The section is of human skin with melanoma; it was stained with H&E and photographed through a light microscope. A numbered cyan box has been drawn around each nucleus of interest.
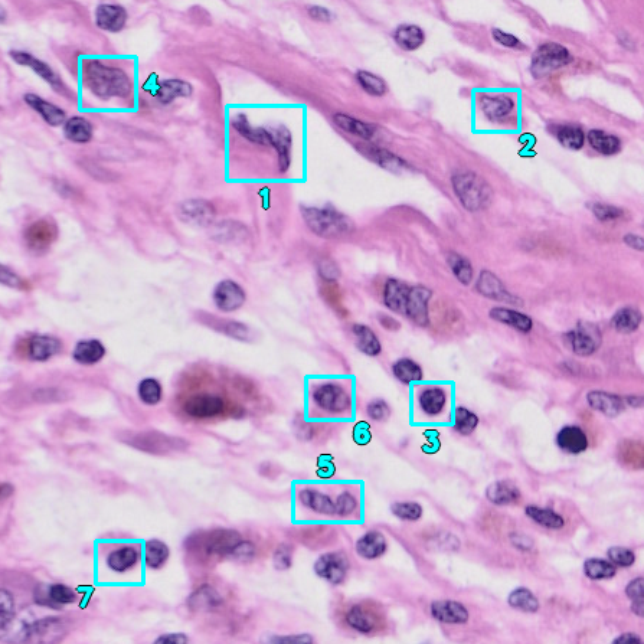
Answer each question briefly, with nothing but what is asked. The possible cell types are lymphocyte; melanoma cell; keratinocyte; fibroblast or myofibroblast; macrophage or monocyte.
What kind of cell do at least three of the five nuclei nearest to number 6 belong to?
lymphocyte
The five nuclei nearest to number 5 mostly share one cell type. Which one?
lymphocyte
